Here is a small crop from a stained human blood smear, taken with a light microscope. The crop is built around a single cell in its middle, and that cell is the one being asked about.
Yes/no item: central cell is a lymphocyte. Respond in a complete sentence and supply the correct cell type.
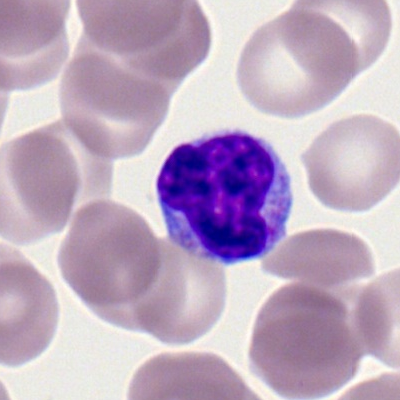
Yes, the middle cell is properly termed a lymphocyte.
